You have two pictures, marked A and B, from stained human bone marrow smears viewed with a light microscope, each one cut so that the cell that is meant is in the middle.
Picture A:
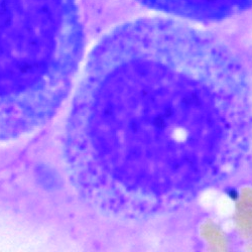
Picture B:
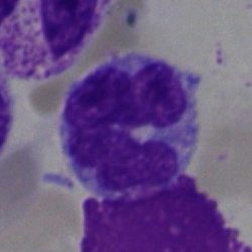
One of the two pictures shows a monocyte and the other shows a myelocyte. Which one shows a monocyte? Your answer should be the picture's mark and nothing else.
B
